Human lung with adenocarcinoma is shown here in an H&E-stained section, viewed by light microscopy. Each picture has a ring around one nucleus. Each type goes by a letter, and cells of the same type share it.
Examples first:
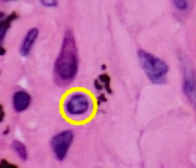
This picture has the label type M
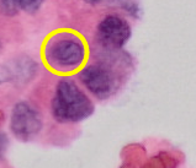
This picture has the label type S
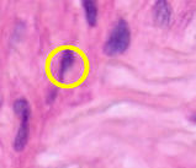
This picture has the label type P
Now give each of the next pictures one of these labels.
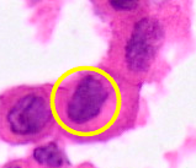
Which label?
type S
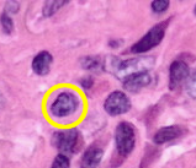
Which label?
type M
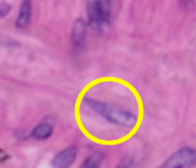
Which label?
type P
